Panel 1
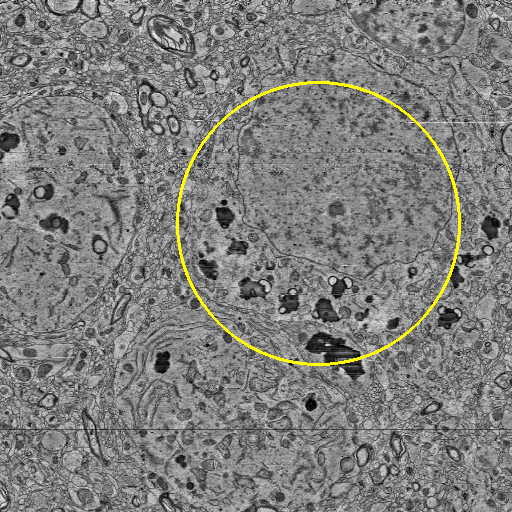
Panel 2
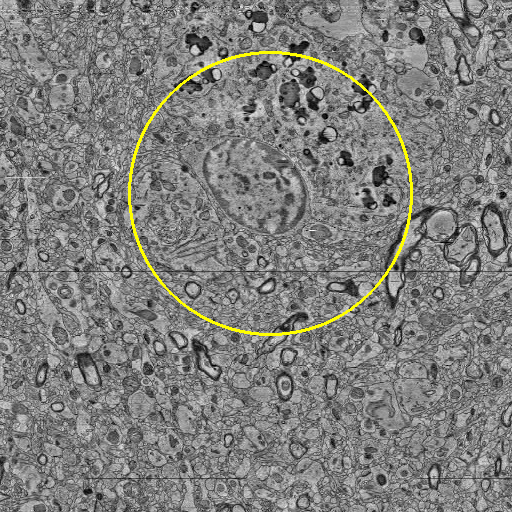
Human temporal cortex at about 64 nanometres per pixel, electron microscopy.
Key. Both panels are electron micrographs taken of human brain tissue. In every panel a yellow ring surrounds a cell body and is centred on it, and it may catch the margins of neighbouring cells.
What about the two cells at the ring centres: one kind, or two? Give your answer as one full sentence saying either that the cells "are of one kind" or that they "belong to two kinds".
Across Panels 1 and 2, the two cells at the ring centres belong to two kinds.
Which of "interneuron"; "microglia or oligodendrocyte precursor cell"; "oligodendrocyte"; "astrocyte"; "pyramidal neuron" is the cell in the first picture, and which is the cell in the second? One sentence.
The two differ: the first cell is a pyramidal neuron and the second is an oligodendrocyte.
